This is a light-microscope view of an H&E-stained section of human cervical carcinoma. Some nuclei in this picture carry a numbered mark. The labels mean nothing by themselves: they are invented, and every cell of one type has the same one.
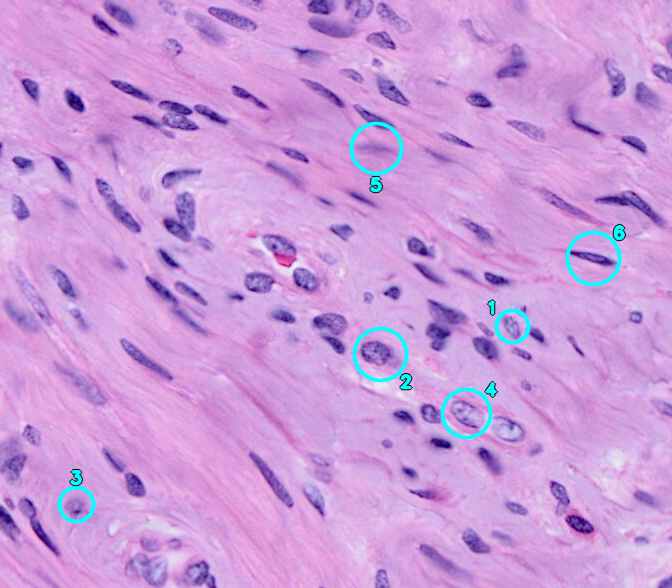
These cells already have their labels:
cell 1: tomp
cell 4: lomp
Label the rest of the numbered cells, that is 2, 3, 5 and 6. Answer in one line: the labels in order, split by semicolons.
lomp; tomp; tomp; tomp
